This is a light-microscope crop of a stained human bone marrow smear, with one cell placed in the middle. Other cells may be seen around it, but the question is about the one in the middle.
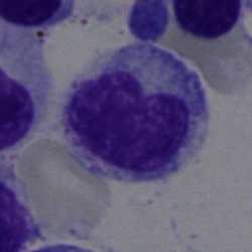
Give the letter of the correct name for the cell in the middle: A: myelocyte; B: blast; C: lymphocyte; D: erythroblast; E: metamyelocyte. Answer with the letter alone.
E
